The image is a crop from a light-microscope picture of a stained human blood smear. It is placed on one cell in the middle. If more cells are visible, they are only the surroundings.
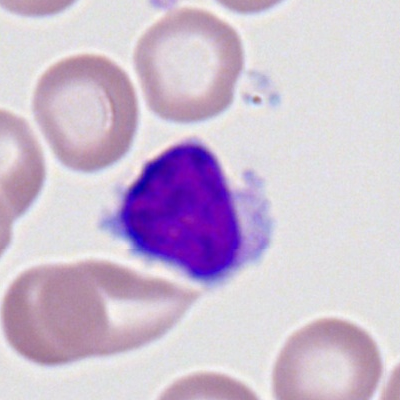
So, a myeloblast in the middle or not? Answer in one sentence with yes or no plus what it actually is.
No, in the middle of the crop there is a lymphocyte rather than a myeloblast.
